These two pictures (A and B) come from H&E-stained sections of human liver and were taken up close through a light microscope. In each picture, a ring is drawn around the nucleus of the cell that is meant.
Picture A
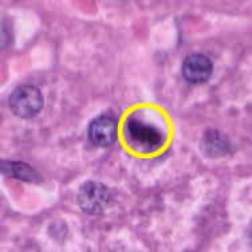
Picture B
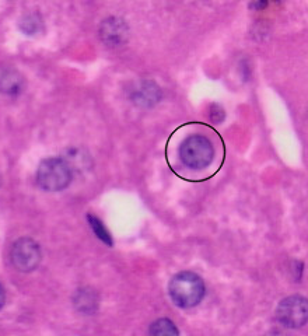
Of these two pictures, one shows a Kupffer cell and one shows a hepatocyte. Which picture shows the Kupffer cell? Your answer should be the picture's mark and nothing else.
A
